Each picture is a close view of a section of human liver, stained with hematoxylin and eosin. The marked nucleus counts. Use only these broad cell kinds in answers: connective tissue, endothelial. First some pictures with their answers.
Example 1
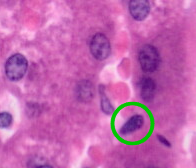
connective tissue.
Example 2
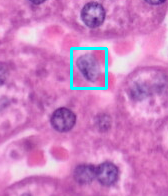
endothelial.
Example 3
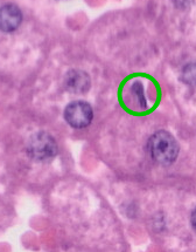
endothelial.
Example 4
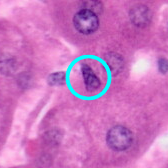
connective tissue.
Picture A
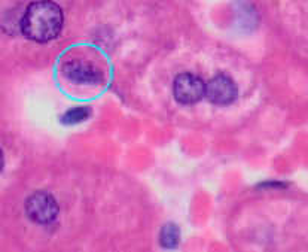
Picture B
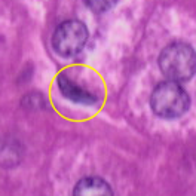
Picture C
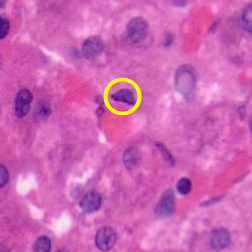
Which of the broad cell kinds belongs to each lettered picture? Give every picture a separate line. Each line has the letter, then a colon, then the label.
A: connective tissue.
B: endothelial.
C: connective tissue.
